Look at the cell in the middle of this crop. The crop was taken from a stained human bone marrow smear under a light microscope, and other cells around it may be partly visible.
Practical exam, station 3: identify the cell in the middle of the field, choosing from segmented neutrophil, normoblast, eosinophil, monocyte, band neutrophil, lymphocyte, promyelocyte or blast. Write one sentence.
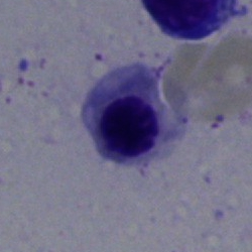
Looking at the middle of the crop, the cell there is a normoblast.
